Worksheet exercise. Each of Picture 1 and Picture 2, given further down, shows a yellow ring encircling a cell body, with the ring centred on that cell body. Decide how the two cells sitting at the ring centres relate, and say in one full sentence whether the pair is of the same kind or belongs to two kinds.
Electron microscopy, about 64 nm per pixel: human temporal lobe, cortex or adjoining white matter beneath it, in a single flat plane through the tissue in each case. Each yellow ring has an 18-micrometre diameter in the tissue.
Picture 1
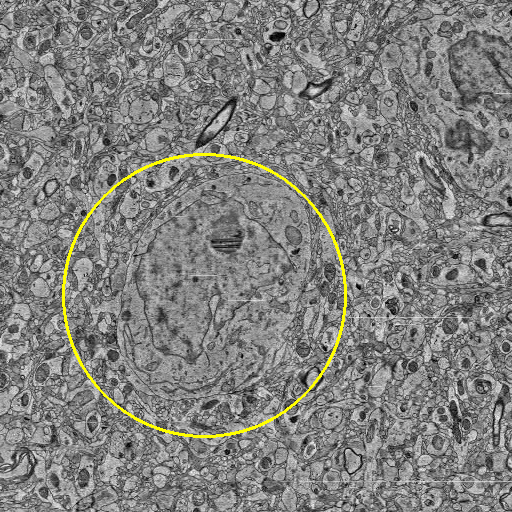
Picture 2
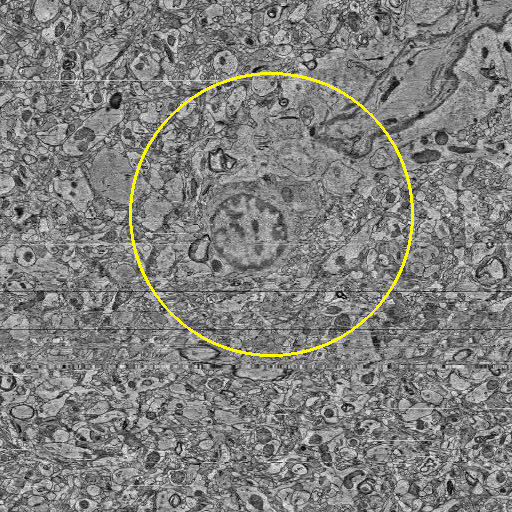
The cells at the ring centres in Picture 1 and Picture 2 belong to two kinds.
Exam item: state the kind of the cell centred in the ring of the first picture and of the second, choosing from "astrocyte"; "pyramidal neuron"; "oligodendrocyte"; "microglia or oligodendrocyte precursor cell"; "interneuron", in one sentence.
The first picture shows an interneuron at the ring centre and the second shows an oligodendrocyte.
